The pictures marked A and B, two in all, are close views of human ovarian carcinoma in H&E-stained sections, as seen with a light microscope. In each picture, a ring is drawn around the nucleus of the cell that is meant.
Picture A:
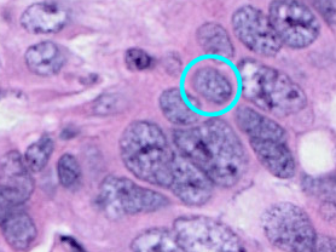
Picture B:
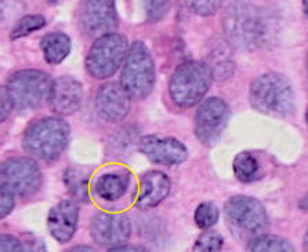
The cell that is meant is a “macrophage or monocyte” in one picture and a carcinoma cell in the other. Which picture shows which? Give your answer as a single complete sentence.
Picture B shows a “macrophage or monocyte”, while picture A shows a carcinoma cell.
